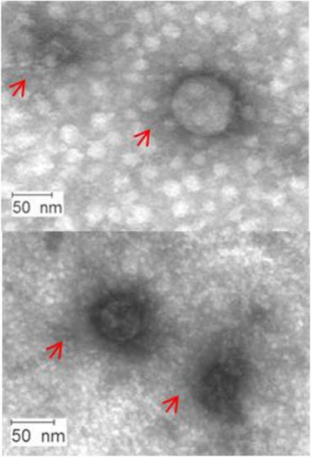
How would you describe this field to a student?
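Two stacked electron micrographs show small, isolated, rounded membrane-bound vesicles lying on a grainy grey background. In the upper image, one vesicle stands out clearly. A fainter, smaller vesicle lies near the left edge. The background is dotted with many small pale round specks. In the lower image, two vesicles of similar size are darker and have hazier edges. They sit a short distance apart.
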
